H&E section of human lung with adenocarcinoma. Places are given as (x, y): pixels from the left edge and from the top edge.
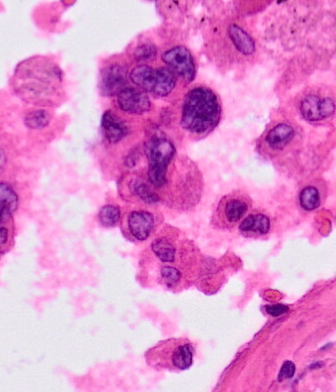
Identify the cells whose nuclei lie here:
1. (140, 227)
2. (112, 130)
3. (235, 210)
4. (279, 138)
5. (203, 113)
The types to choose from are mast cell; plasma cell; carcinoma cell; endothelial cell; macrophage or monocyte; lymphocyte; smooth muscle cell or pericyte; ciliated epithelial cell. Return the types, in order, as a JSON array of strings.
["macrophage or monocyte", "carcinoma cell", "macrophage or monocyte", "macrophage or monocyte", "carcinoma cell"]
